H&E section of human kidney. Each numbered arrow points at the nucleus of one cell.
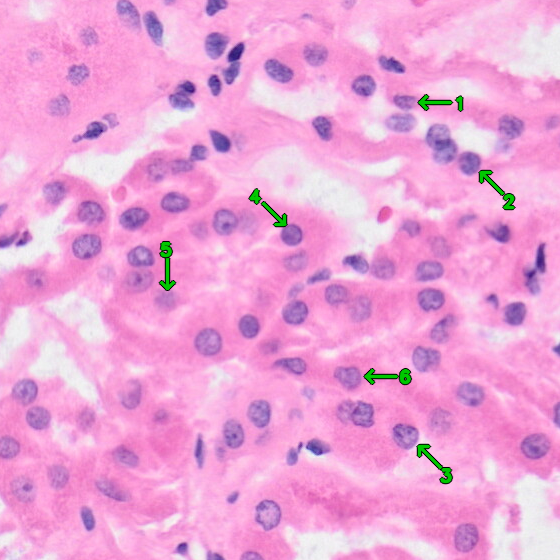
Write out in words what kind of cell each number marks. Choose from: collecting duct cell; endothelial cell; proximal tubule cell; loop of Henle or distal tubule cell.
Cell 1 is a loop of Henle or distal tubule cell, cell 2 is a loop of Henle or distal tubule cell, cell 3 is a proximal tubule cell, cell 4 is a proximal tubule cell, cell 5 is a proximal tubule cell and cell 6 is a proximal tubule cell.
